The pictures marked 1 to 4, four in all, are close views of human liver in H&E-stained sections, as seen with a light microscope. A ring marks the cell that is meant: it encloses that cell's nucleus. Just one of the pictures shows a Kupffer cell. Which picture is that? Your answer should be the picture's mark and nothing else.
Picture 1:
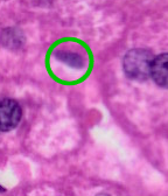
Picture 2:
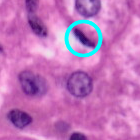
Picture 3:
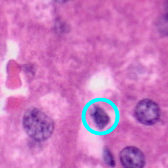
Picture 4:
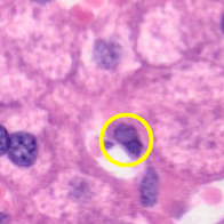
4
